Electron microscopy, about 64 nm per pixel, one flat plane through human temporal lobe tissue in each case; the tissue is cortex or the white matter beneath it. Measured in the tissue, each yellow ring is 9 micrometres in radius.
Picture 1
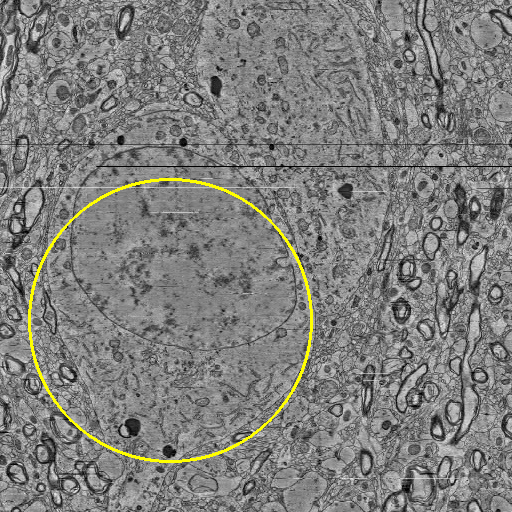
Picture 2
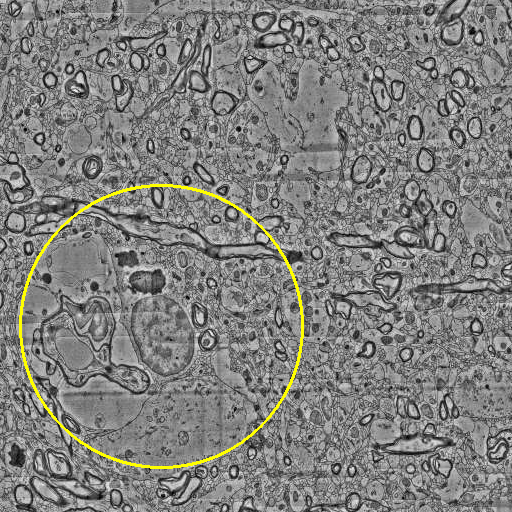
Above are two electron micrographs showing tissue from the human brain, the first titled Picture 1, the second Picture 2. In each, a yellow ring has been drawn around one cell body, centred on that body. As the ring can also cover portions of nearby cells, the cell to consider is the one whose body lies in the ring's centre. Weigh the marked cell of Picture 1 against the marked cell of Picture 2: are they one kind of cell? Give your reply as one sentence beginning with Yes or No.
No, the two cells sitting at the ring centres in the pictures are of two kinds.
